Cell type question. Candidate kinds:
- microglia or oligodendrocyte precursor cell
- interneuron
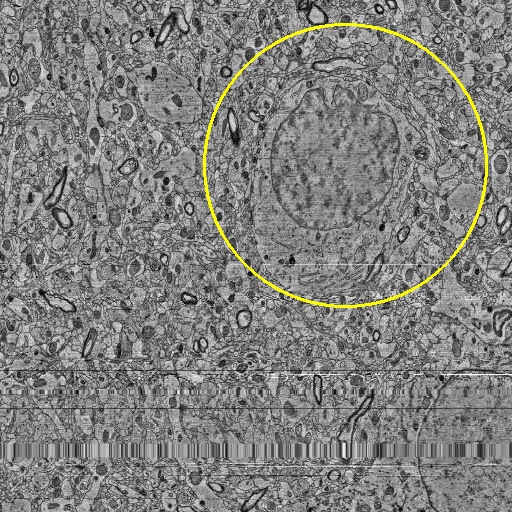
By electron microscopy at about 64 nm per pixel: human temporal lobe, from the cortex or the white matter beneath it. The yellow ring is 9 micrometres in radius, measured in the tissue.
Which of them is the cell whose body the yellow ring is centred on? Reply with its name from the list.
interneuron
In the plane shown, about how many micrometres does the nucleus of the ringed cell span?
In this plane, the nucleus of the cell at the centre of the ring measures about 10 by 8 micrometres.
